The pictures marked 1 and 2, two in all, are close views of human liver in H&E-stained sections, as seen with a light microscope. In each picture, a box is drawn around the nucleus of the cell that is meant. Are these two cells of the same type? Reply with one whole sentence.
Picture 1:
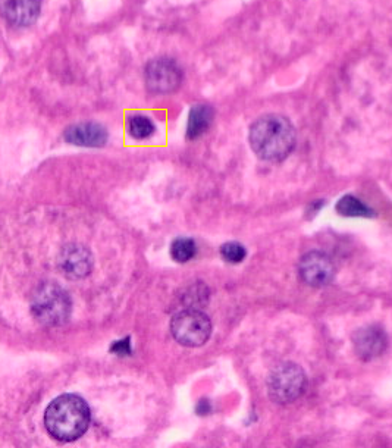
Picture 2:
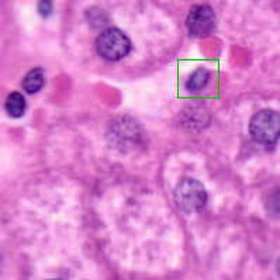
Yes, both are lymphocytes.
